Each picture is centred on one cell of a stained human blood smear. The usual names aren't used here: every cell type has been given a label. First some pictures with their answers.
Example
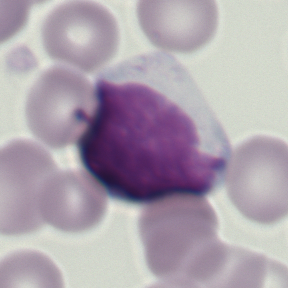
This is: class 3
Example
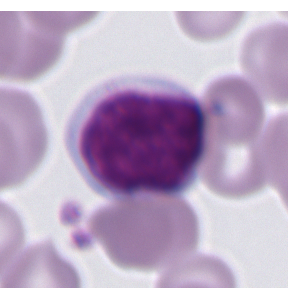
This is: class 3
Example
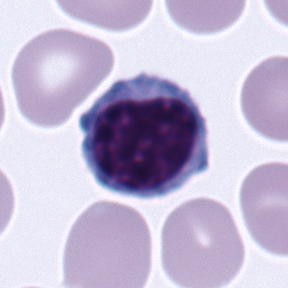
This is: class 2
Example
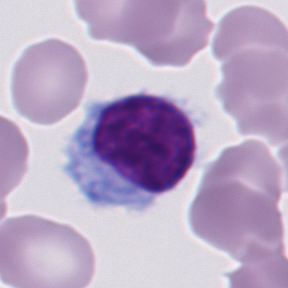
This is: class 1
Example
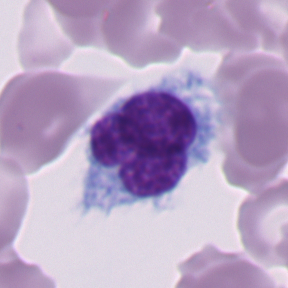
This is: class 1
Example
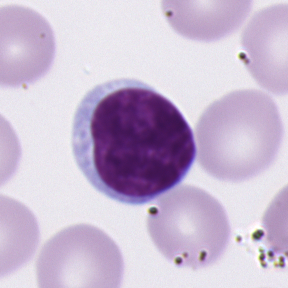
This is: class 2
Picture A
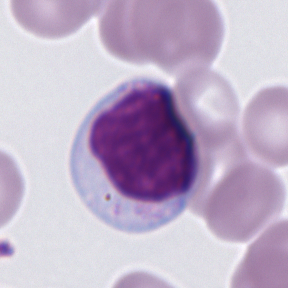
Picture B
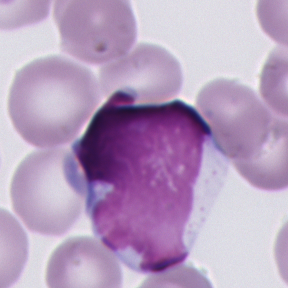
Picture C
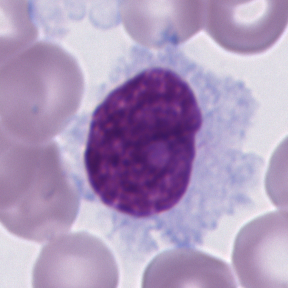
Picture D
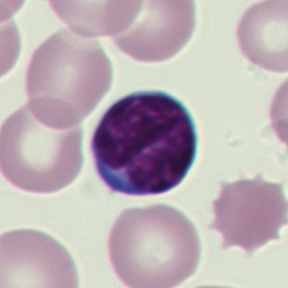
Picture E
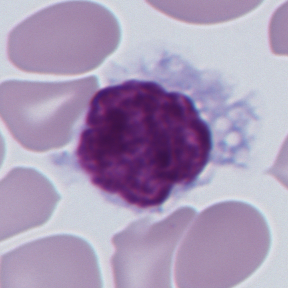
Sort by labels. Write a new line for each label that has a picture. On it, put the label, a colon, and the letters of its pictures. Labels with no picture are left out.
class 3: A, B
class 2: D
class 1: C, E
